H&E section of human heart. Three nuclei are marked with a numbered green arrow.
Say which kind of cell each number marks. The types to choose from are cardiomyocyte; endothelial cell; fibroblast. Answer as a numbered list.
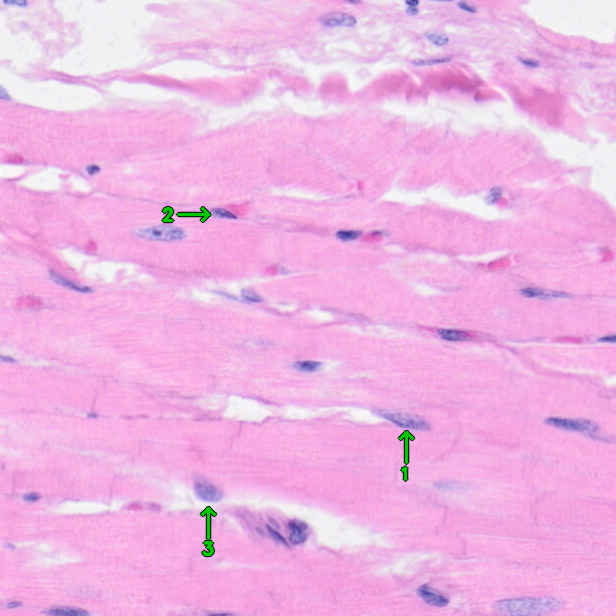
1. fibroblast
2. endothelial cell
3. fibroblast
